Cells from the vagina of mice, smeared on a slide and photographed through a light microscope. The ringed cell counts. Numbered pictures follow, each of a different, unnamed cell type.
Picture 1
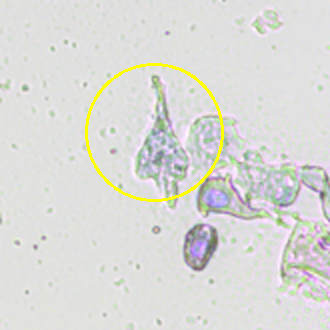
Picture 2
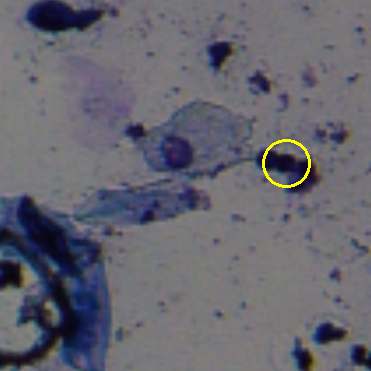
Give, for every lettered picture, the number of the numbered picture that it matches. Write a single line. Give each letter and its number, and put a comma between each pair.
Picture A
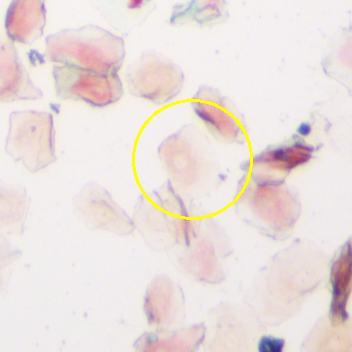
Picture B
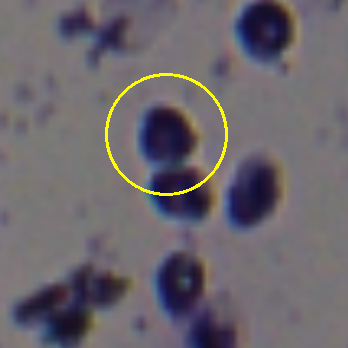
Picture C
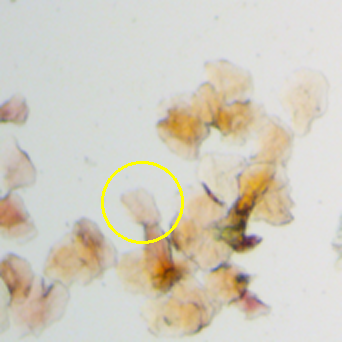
A 1, B 2, C 1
